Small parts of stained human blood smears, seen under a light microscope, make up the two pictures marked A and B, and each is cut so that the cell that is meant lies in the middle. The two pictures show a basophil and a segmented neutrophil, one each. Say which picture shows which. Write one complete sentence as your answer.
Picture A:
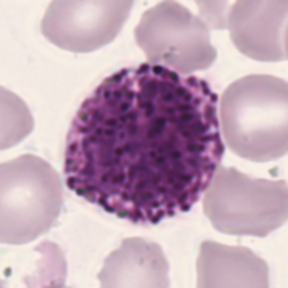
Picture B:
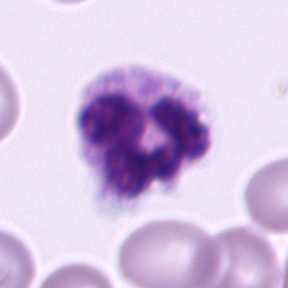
Picture A is of a basophil, and picture B is of a segmented neutrophil.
